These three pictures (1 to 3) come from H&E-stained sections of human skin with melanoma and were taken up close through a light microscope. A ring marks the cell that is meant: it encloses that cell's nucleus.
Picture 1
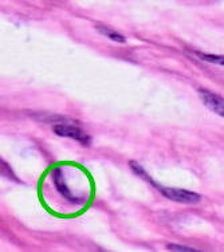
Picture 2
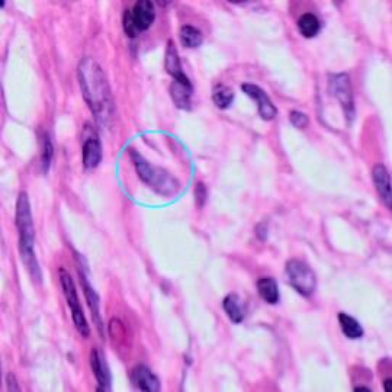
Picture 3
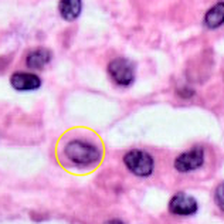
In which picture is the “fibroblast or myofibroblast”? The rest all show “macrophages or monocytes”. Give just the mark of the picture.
1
